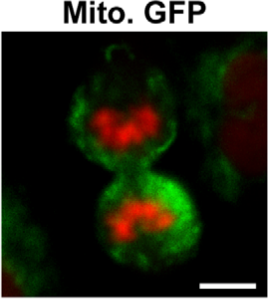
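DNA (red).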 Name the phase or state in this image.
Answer: Telophase.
